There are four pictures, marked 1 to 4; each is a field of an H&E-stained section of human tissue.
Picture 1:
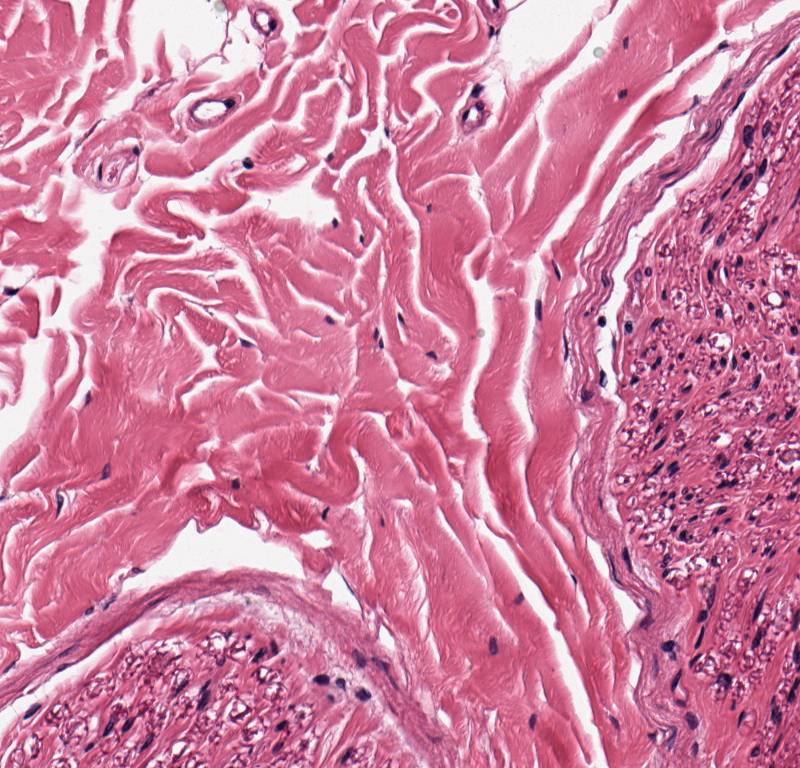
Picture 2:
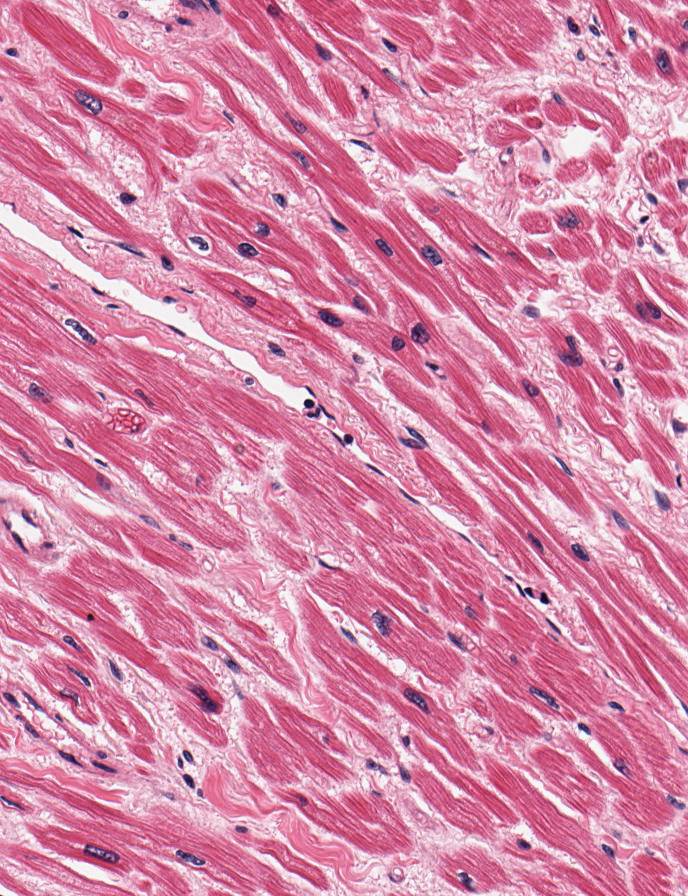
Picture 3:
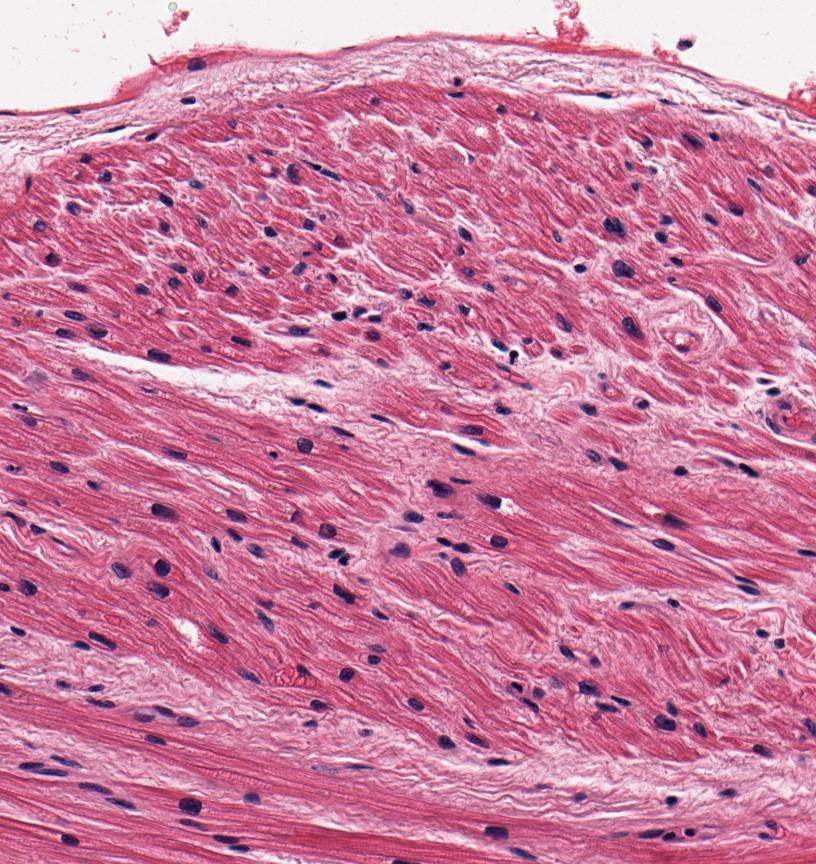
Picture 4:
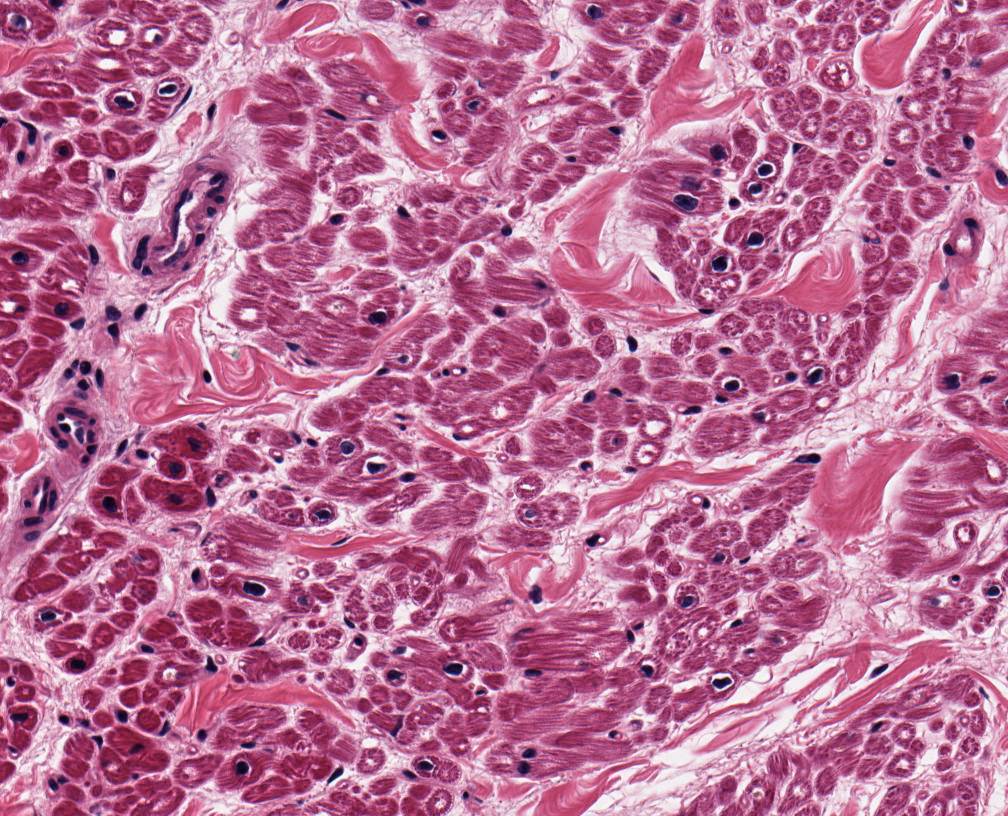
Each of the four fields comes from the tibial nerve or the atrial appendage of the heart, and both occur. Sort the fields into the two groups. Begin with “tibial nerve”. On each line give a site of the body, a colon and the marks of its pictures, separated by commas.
tibial nerve: 1
atrial appendage of the heart: 2, 3, 4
